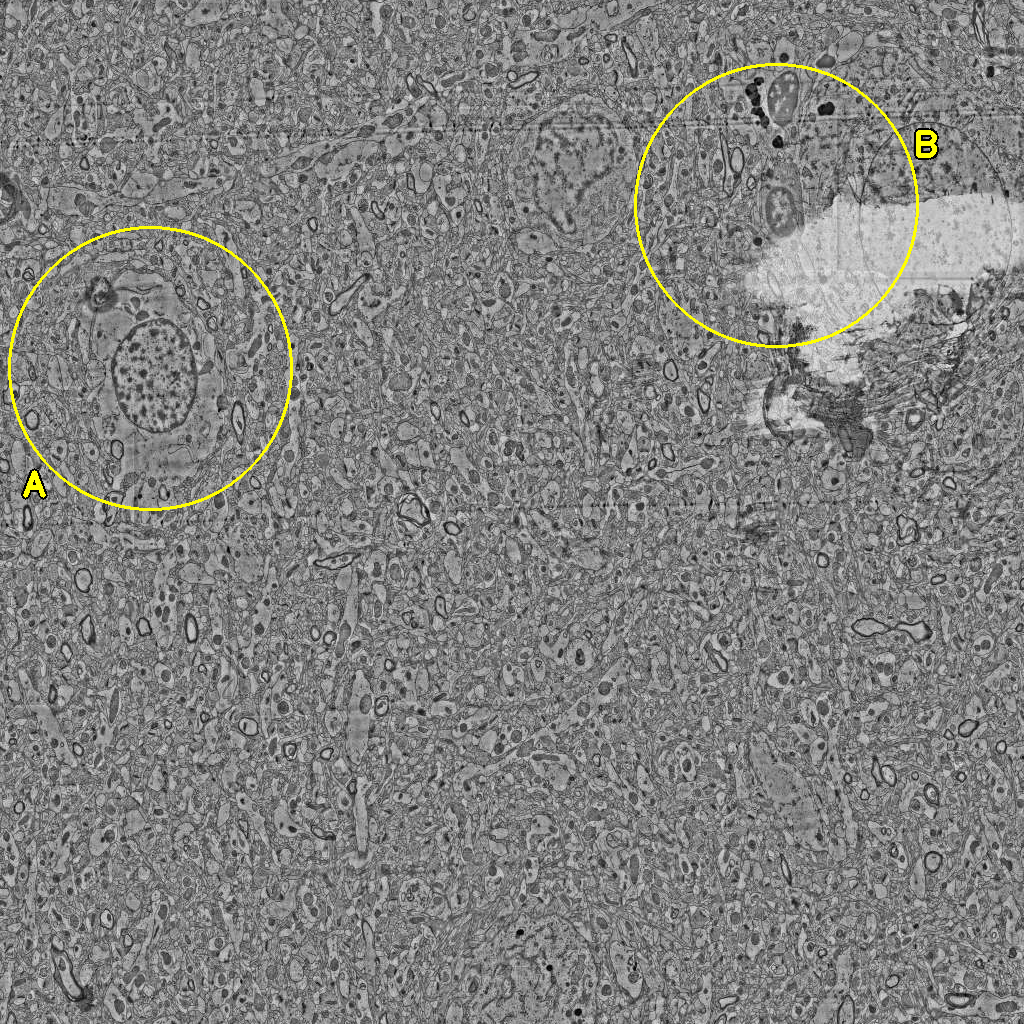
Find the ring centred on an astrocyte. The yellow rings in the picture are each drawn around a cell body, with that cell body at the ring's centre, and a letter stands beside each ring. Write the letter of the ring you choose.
A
